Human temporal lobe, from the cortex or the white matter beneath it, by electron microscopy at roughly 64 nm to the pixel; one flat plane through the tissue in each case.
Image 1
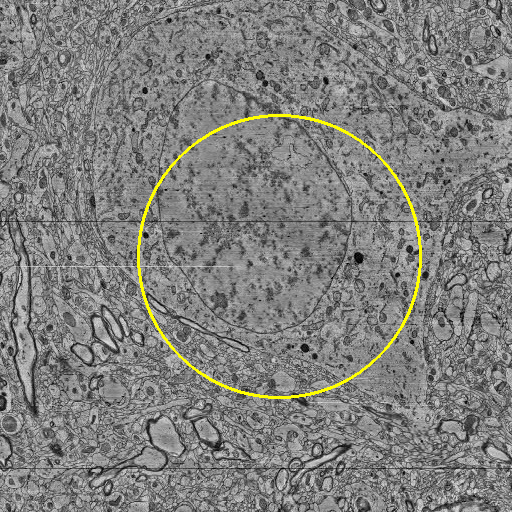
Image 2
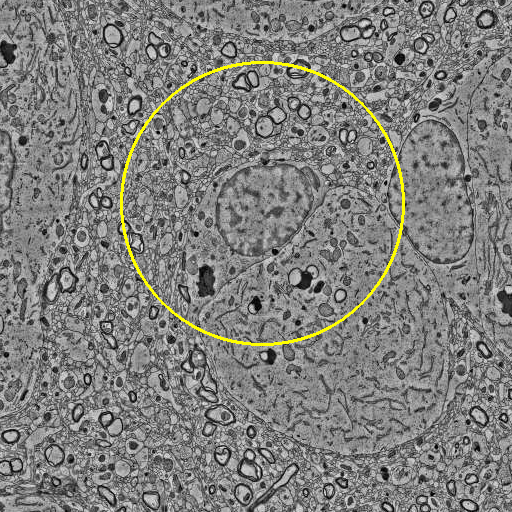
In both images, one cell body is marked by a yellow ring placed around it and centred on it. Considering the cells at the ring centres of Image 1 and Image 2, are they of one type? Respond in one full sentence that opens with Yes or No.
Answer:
No, two types apply to the ring-centred cells of Image 1 and Image 2.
